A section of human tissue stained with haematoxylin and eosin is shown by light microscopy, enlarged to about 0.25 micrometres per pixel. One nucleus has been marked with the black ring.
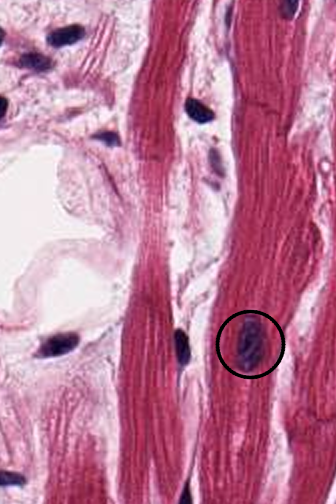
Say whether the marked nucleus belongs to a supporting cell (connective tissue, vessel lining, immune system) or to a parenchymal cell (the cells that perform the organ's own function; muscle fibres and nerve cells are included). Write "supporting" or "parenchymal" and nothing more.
parenchymal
